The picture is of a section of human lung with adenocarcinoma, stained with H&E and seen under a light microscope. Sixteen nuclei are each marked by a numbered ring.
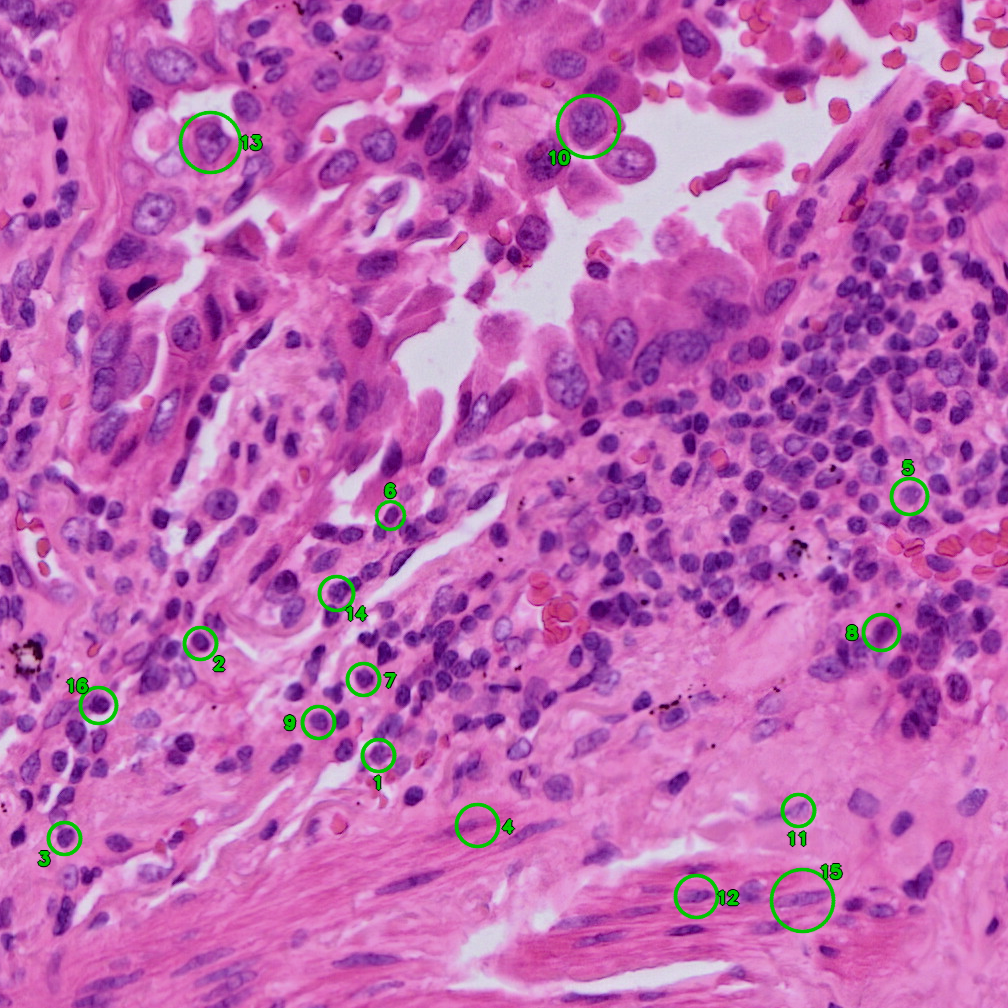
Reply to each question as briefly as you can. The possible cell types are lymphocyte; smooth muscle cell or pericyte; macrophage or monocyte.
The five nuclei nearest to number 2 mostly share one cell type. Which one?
macrophage or monocyte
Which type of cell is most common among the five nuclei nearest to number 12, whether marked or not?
smooth muscle cell or pericyte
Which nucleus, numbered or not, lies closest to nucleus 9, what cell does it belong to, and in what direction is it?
a lymphocyte; to the right of nucleus 9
